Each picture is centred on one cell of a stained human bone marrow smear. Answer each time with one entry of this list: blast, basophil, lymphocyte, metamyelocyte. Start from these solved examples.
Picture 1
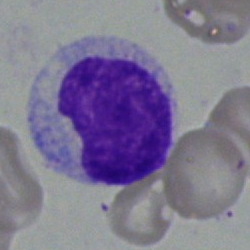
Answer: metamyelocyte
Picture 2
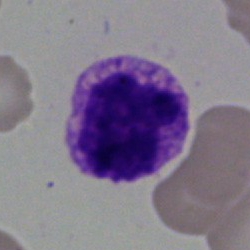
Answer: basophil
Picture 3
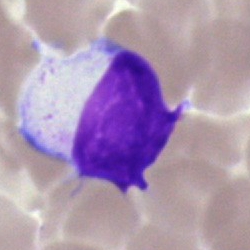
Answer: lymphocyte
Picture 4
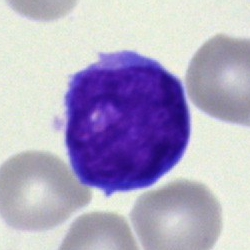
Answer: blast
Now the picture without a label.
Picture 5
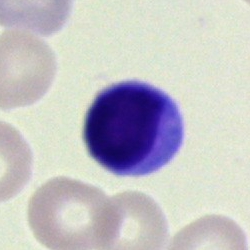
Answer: lymphocyte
